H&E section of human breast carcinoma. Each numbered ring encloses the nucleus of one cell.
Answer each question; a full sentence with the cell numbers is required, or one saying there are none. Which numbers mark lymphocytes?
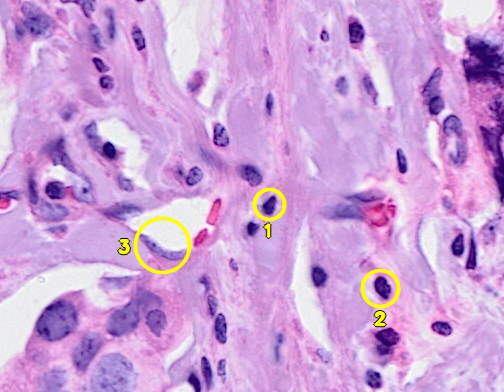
The cells with the numbers 1 and 2 are lymphocytes.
